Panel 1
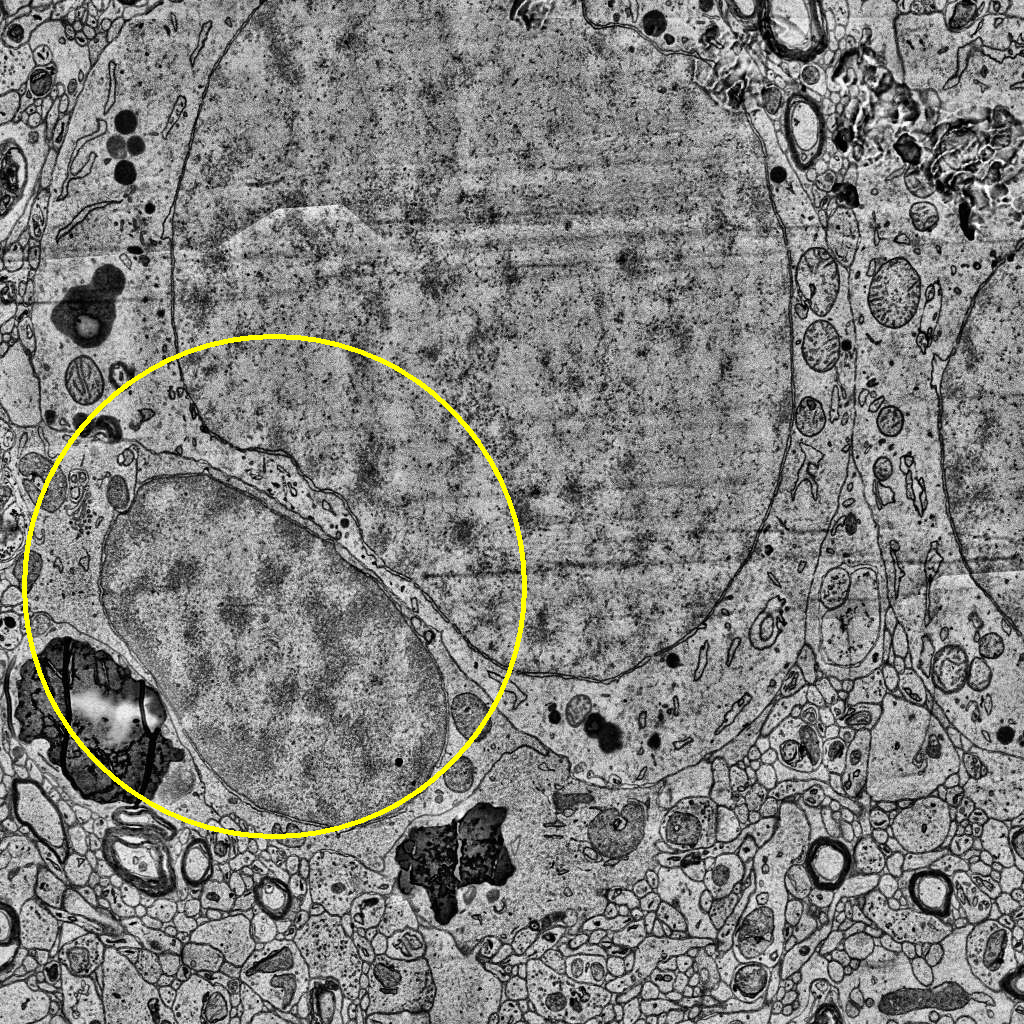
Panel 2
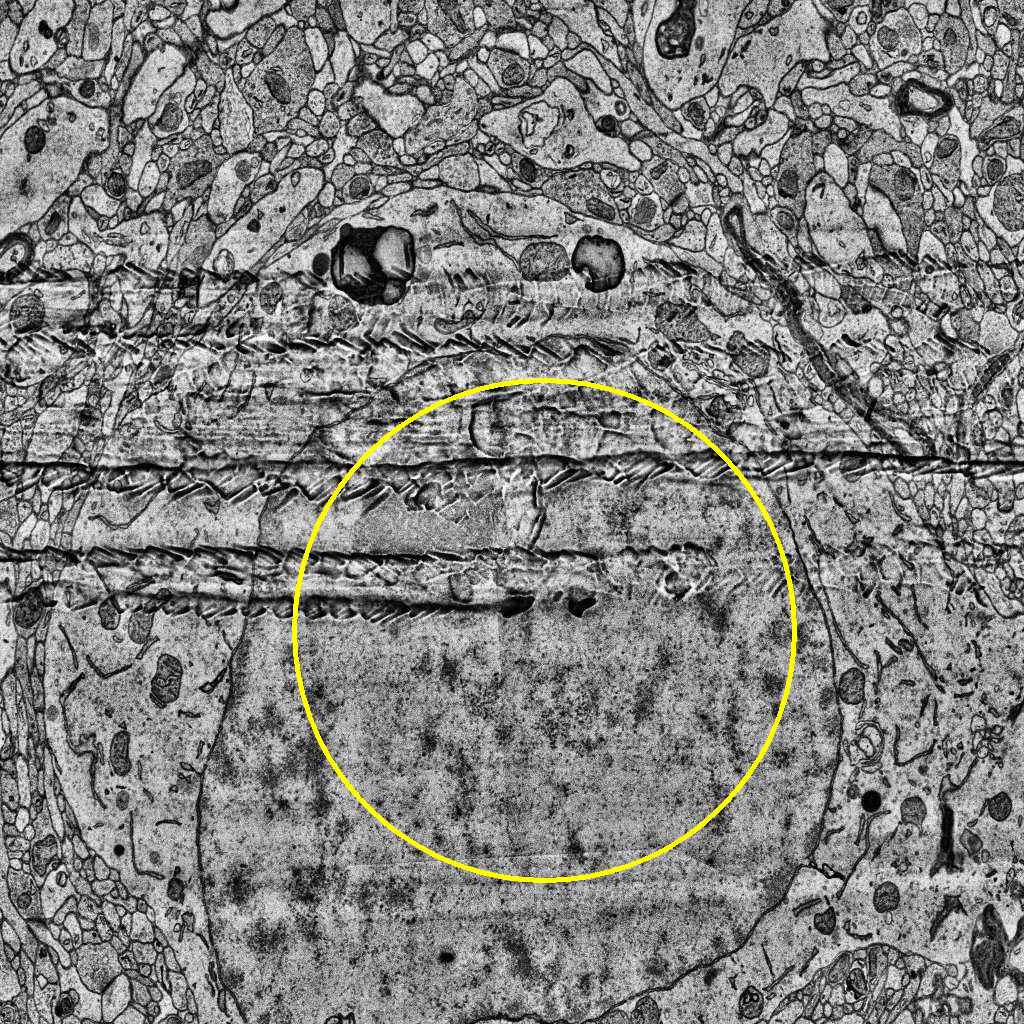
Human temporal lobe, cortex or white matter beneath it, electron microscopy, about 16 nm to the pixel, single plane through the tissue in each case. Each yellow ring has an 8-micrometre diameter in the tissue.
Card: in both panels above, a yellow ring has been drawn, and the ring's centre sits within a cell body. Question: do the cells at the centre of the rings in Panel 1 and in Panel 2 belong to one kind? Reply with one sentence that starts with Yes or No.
No, the cells at the ring centres of Panel 1 and Panel 2 are two kinds of cell.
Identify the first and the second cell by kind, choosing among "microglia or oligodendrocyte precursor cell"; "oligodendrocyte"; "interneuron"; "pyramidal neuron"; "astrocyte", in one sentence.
The cell at the centre of the ring is an oligodendrocyte in the first picture and a pyramidal neuron in the second.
